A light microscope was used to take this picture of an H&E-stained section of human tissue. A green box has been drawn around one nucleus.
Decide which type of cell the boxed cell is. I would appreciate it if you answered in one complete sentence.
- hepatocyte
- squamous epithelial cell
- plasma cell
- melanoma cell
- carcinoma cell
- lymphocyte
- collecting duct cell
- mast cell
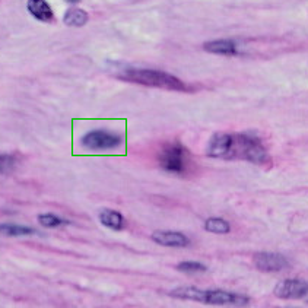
As to its cell type, the boxed cell is a lymphocyte.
